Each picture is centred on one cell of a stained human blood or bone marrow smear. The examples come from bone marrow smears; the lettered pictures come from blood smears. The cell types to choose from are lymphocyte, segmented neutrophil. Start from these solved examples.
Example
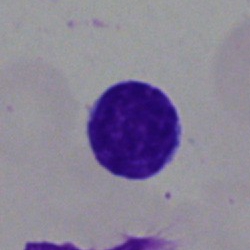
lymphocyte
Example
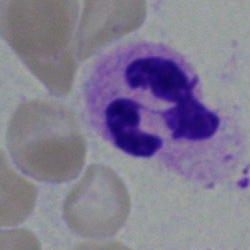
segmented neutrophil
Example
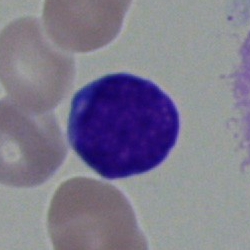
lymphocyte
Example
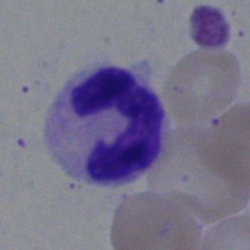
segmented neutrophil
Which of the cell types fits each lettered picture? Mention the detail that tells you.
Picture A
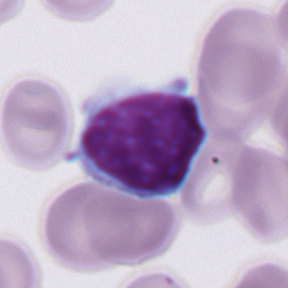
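Answer: lymphocyte. The cytoplasm forms only a thin pale bluish rim around the nucleus.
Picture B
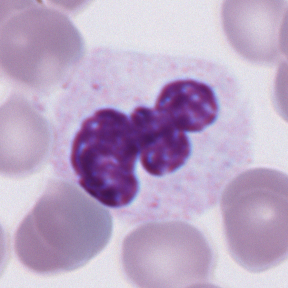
Answer: segmented neutrophil. The nuclear lobes lie in a row running from lower left to upper right.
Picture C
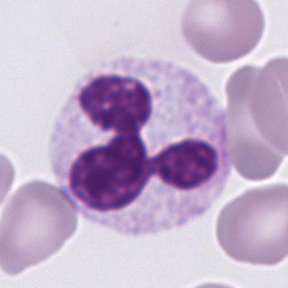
Answer: segmented neutrophil. The nucleus is split into three lobes.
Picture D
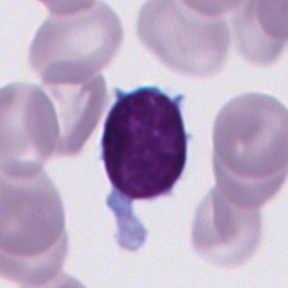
Answer: lymphocyte. Only a very thin rim of cytoplasm is visible around the nucleus.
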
